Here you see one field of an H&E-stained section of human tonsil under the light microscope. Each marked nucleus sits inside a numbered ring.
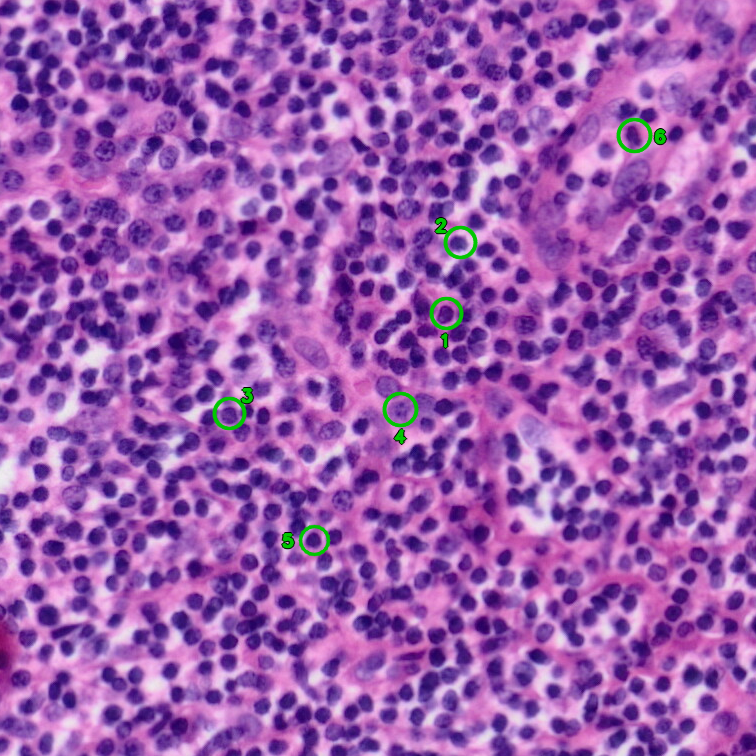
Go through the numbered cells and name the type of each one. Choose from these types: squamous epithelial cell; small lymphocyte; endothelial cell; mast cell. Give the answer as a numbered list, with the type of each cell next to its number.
1. small lymphocyte
2. small lymphocyte
3. small lymphocyte
4. endothelial cell
5. small lymphocyte
6. endothelial cell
